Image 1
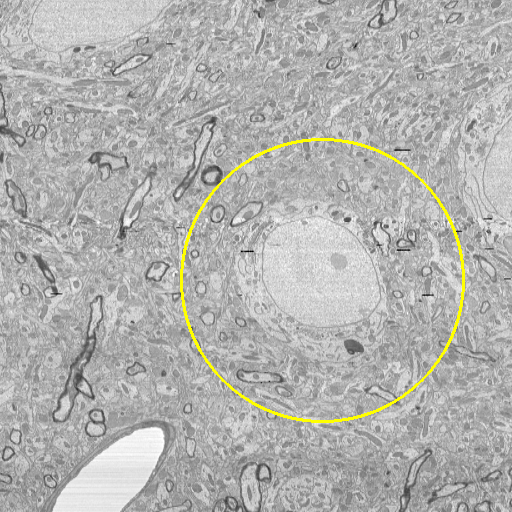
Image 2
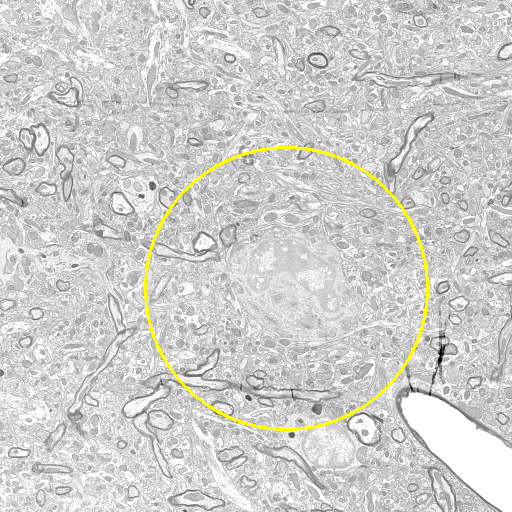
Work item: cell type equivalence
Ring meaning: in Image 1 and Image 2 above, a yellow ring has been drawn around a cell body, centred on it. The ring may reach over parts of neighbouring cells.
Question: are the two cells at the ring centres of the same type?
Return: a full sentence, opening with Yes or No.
No, the two centred cells are of two types.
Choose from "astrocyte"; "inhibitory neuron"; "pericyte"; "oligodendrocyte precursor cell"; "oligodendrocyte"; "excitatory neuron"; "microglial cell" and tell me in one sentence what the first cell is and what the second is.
What the first ring is centred on is an excitatory neuron; what the second ring is centred on is an oligodendrocyte.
